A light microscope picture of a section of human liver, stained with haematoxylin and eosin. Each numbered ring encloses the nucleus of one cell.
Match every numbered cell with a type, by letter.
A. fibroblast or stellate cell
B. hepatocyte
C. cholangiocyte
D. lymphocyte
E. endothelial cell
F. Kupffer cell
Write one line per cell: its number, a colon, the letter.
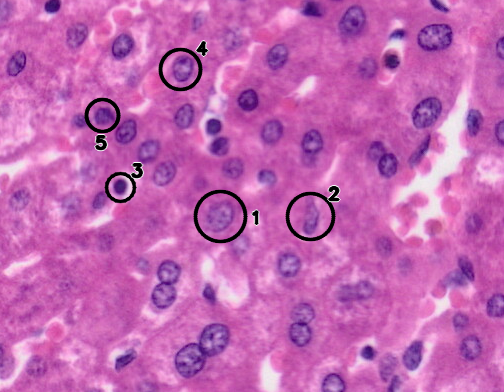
1: B
2: F
3: D
4: B
5: A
